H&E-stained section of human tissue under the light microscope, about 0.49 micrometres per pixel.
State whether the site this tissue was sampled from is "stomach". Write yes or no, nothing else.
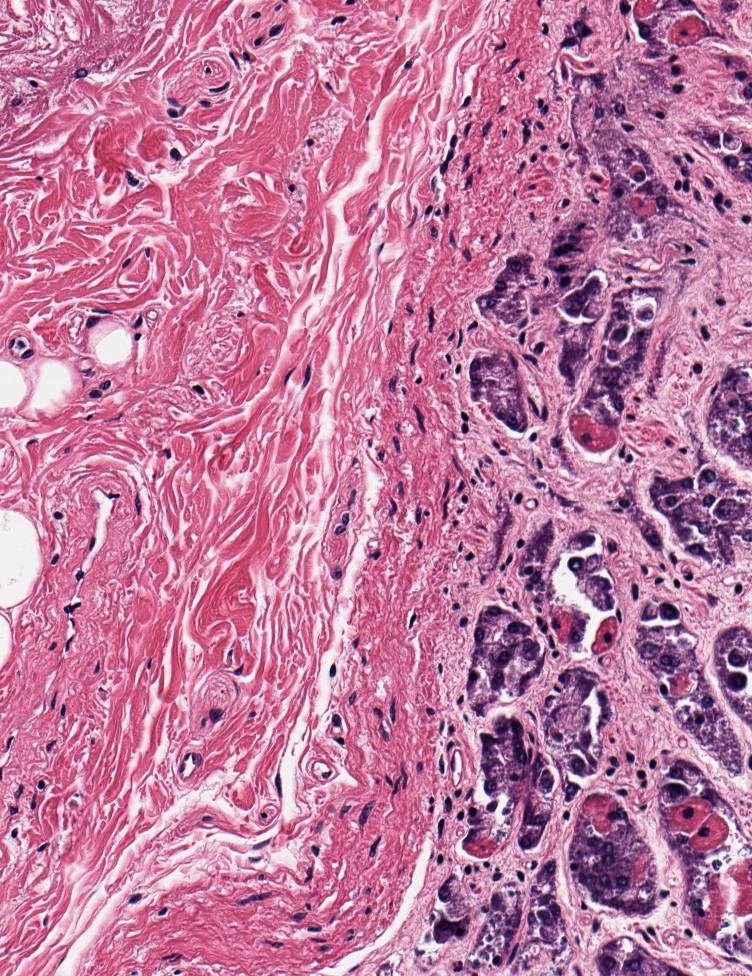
yes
